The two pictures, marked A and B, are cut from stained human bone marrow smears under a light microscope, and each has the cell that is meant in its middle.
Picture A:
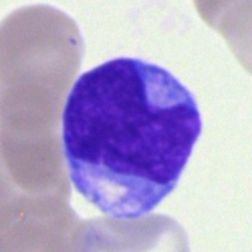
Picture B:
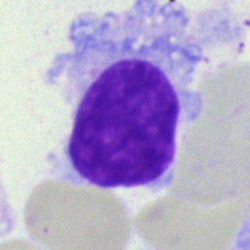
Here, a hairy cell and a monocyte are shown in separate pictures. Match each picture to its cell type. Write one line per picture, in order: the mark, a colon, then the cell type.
A: monocyte
B: hairy cell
